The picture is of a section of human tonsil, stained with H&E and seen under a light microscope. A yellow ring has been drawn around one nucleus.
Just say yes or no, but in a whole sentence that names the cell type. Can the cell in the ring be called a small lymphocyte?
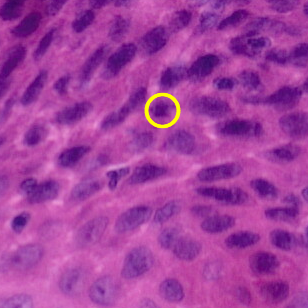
No, mate, the cell in the ring is a squamous epithelial cell rather than a small lymphocyte.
